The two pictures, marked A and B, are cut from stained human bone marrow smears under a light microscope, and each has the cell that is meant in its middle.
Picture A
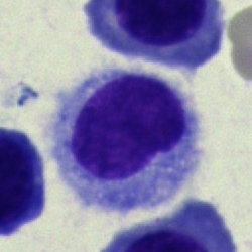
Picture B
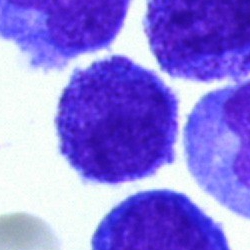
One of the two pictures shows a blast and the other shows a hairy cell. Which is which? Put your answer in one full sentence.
The cell in picture A is a hairy cell, and the one in picture B is a blast.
